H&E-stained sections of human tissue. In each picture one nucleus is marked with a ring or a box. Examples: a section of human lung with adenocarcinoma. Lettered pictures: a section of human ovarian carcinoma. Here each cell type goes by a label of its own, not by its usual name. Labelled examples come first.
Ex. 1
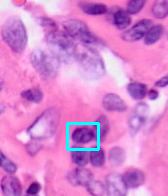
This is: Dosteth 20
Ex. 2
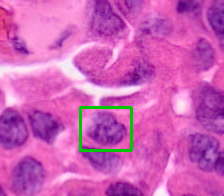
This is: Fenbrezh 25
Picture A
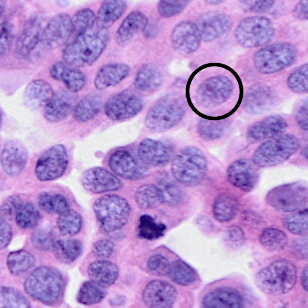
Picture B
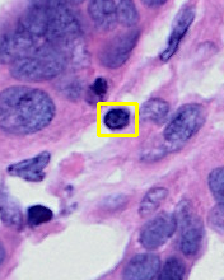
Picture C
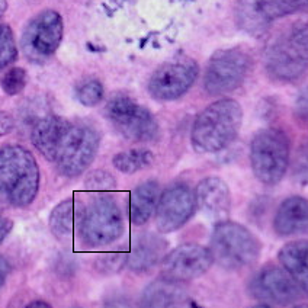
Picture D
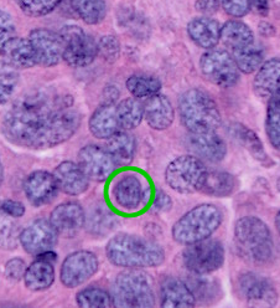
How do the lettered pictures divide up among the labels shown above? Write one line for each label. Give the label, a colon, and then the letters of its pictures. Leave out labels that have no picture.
Dosteth 20: B
Fenbrezh 25: A, C, D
